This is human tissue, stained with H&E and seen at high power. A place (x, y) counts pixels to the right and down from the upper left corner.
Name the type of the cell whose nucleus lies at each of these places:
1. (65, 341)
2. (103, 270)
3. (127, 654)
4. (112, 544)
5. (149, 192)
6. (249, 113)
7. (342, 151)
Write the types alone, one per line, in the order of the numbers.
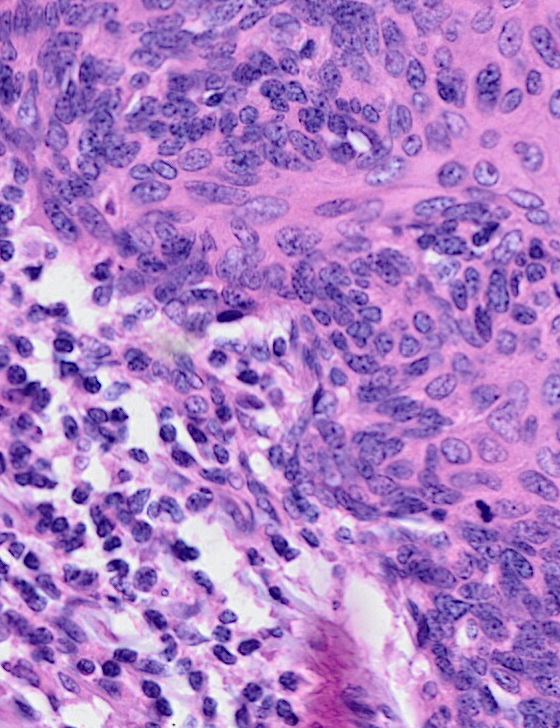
lymphocyte
lymphocyte
lymphocyte
lymphocyte
squamous carcinoma cell
squamous carcinoma cell
squamous carcinoma cell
